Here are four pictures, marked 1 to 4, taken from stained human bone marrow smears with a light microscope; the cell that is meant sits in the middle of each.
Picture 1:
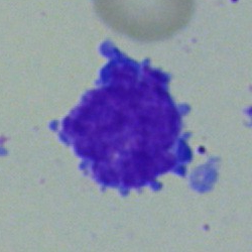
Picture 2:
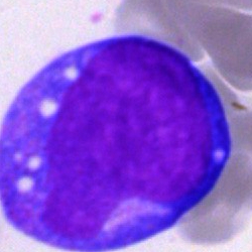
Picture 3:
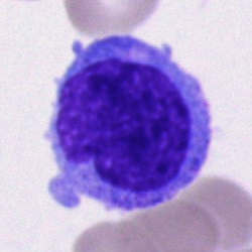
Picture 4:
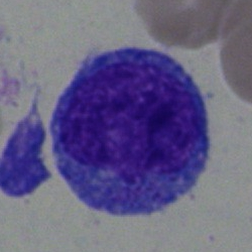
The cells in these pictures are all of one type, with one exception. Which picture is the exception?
3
